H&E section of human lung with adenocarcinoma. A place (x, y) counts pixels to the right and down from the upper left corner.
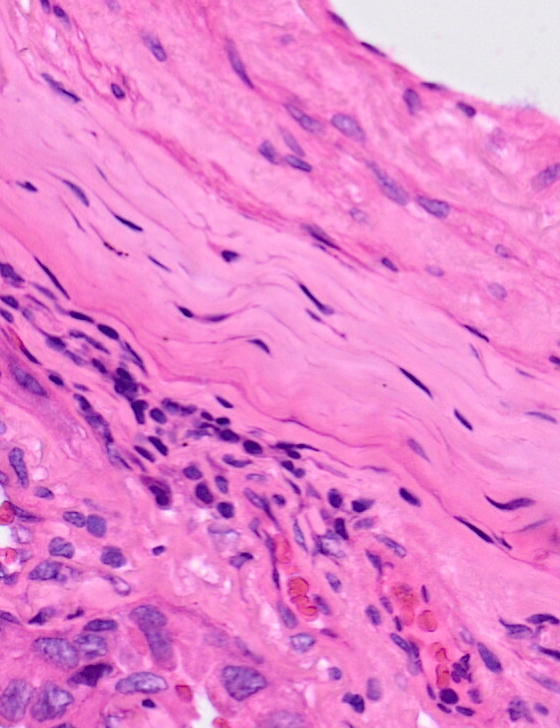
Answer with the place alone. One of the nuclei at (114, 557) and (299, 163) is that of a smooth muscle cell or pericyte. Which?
(299, 163)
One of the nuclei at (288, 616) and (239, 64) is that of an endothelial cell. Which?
(288, 616)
